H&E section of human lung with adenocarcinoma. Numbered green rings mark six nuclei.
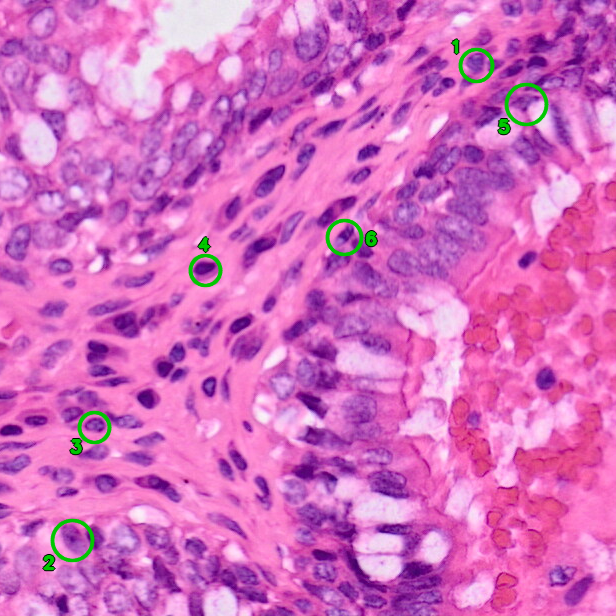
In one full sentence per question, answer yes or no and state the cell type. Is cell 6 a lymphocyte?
Yes, the cell that has number 6 is a lymphocyte.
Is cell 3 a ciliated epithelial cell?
No; cell 3 is a mast cell, not a ciliated epithelial cell.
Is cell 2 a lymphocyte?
No, cell 2 is a ciliated epithelial cell and should not be called a lymphocyte.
